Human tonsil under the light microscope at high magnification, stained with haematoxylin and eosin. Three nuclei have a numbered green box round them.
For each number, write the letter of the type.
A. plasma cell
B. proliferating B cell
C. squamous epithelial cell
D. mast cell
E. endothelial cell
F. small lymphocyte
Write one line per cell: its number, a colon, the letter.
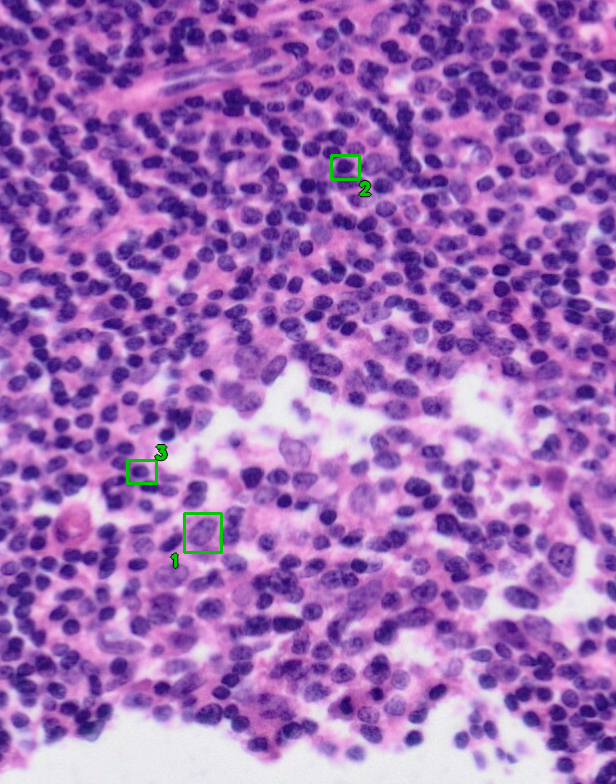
1: B
2: F
3: F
